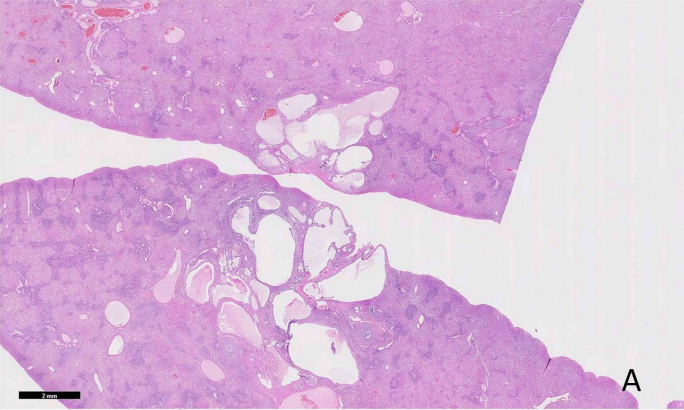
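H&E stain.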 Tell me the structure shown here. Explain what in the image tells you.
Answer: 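Clusters of round to irregular clear spaces of varying size lie within solid pink parenchyma. Some spaces hold pale pink material. That points to this answer: cyst-like structures.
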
